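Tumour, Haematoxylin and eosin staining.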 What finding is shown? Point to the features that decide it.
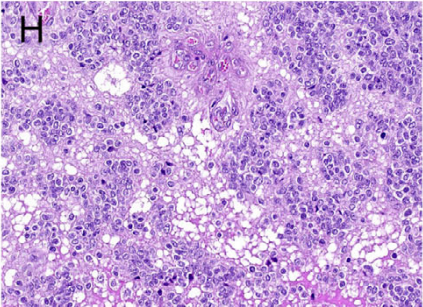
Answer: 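Many small clear bubble-like spaces fill the middle of the field. Uniform round nuclei lie in the tissue between the spaces.
Microcystic changes.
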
